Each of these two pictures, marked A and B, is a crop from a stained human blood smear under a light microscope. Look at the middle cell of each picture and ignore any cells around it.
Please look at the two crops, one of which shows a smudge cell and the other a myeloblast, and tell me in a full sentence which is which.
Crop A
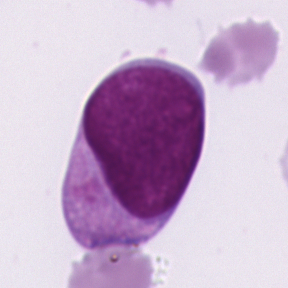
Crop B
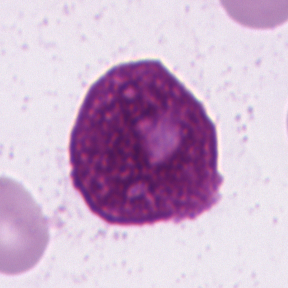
The centred cell is a myeloblast in crop A and a smudge cell in crop B.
